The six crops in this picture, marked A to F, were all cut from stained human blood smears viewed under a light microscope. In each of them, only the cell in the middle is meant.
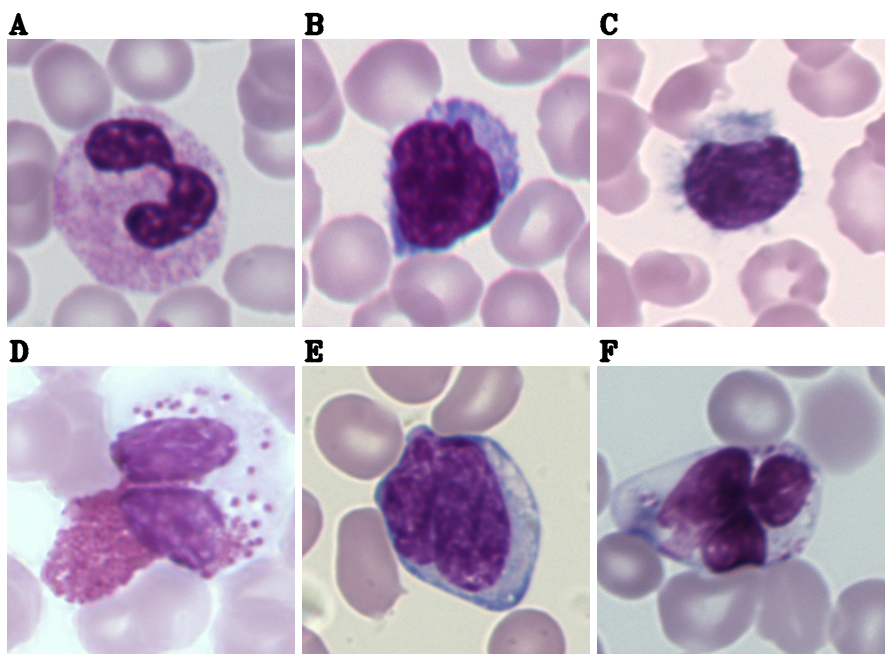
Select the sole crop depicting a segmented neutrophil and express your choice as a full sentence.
Crop A is identified as the crop showing a segmented neutrophil.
